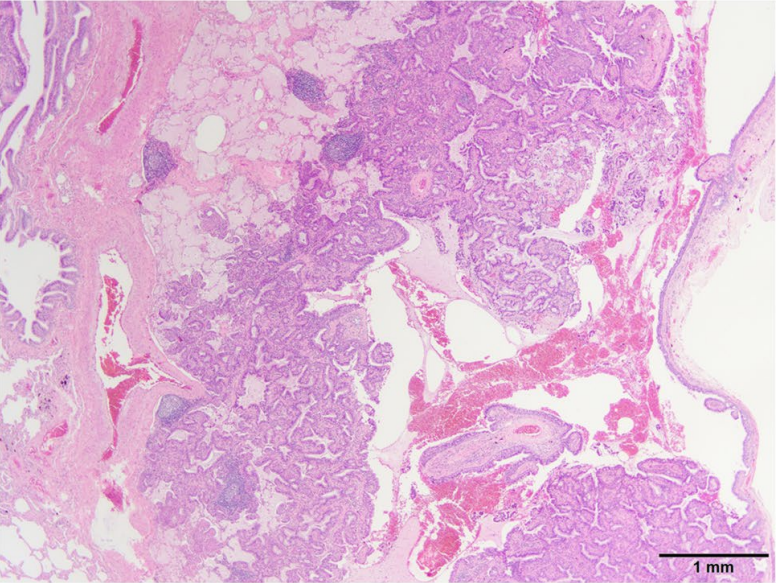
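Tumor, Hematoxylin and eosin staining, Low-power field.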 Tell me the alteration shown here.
Tubular-to-papillary and cystic growth pattern.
